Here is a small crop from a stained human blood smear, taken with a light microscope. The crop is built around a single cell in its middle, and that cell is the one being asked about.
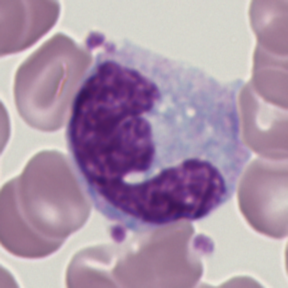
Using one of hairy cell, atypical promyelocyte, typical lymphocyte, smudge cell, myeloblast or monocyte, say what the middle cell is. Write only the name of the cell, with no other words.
monocyte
